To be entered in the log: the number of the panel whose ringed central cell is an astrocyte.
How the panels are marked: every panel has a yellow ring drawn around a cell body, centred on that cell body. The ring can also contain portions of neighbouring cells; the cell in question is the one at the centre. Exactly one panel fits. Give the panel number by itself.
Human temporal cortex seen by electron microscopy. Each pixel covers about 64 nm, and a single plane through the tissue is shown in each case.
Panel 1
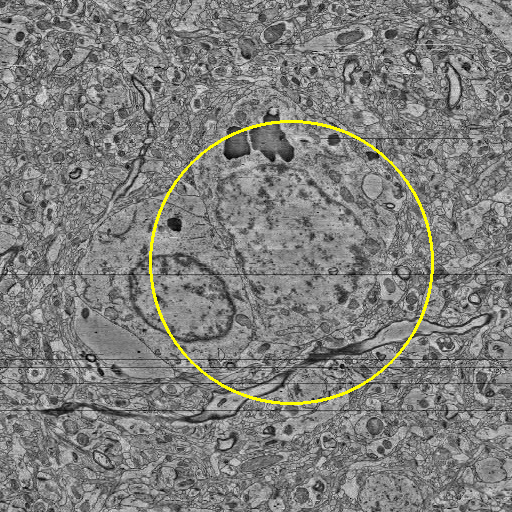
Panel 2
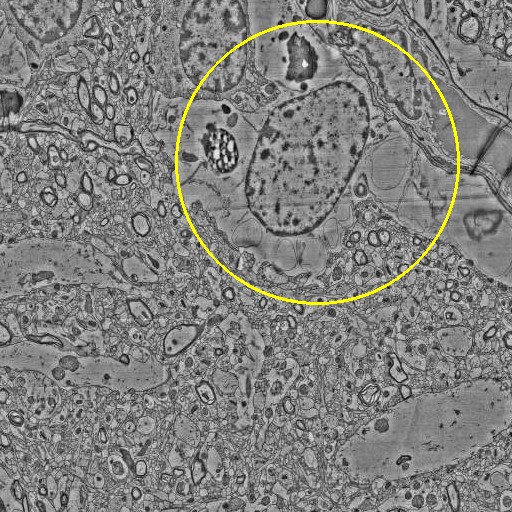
2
